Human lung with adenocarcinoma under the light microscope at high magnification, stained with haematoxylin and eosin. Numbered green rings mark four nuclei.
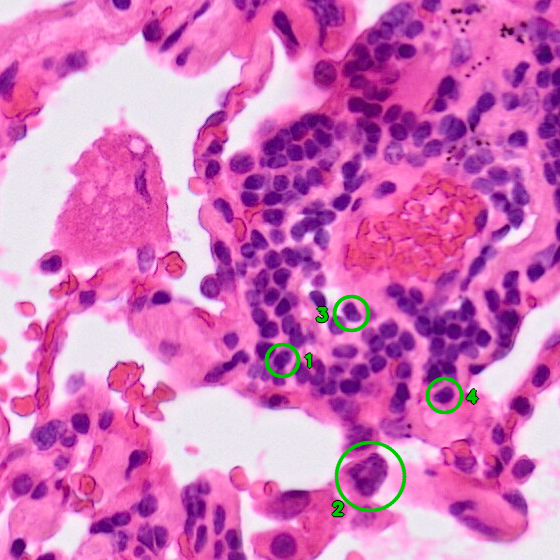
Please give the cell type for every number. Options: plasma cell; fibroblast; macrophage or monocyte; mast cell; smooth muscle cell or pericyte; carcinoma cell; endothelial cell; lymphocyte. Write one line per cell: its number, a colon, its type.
1: lymphocyte
2: carcinoma cell
3: lymphocyte
4: lymphocyte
